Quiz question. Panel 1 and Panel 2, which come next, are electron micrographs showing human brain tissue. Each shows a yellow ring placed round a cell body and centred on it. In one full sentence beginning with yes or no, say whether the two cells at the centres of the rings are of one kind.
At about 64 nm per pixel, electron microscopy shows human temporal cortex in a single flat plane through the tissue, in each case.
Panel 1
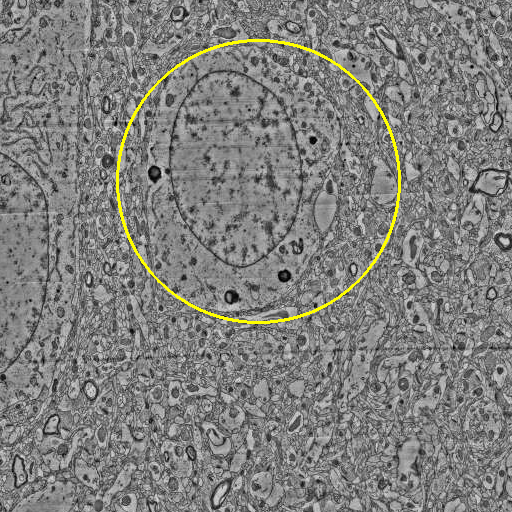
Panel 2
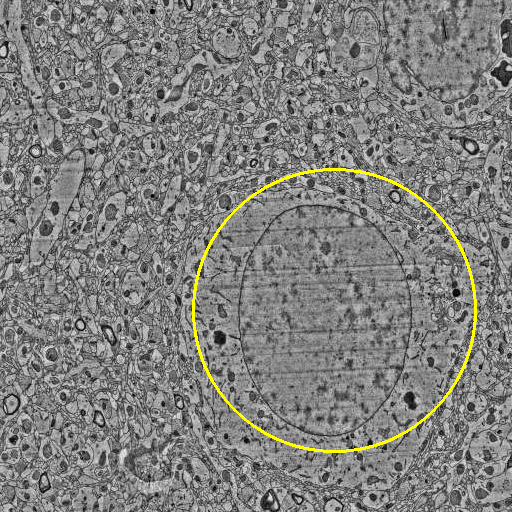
Yes, Panel 1 and Panel 2 show one kind of cell at the centre of the ring.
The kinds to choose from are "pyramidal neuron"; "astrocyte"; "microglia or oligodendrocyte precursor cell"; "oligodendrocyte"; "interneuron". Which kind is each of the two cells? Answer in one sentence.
Each of the two cells is a pyramidal neuron.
